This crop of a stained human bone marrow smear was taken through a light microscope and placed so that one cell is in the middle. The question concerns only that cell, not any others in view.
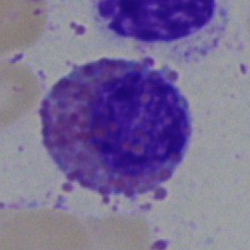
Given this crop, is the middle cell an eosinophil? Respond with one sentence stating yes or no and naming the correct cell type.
Yes, the centered cell in this field is an eosinophil.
